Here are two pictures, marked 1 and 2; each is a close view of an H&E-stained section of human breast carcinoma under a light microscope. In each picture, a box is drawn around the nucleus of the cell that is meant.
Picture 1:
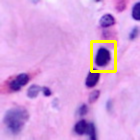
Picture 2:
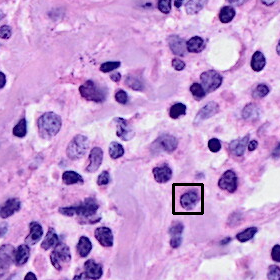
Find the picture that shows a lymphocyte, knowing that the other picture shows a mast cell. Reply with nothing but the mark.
1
